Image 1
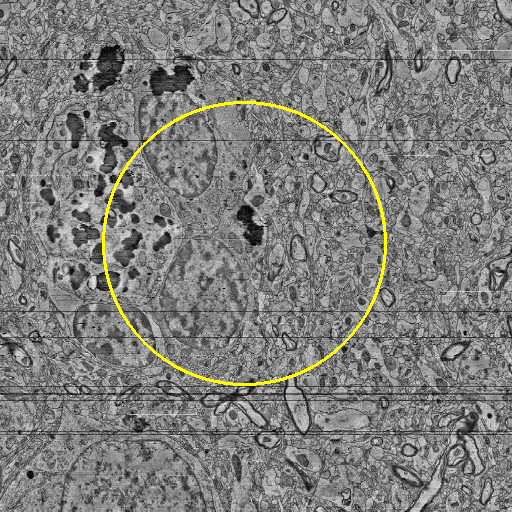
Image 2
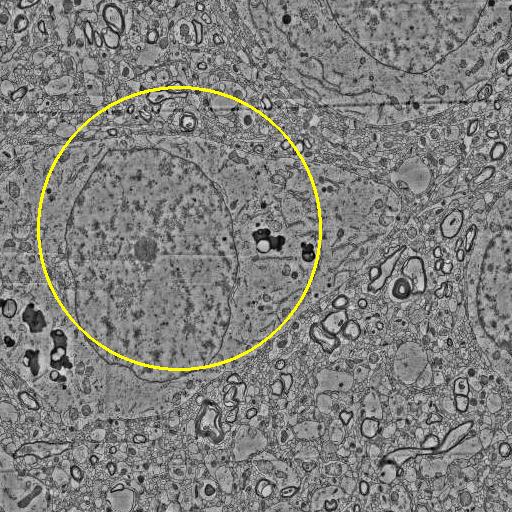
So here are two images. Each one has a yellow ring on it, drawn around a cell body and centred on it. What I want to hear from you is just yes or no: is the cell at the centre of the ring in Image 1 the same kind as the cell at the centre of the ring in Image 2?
no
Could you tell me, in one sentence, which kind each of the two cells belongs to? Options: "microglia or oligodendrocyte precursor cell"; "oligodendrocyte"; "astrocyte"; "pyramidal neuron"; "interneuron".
At the centre of the first ring sits an oligodendrocyte, and at the centre of the second sits a pyramidal neuron.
